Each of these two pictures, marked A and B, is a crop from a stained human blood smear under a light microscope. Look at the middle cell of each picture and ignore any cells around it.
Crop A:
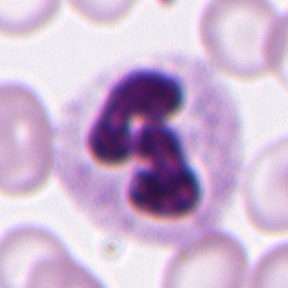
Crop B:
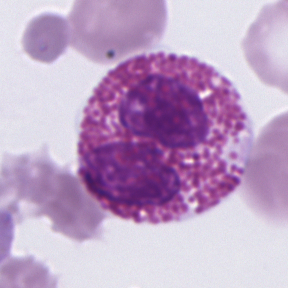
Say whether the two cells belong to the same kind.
no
